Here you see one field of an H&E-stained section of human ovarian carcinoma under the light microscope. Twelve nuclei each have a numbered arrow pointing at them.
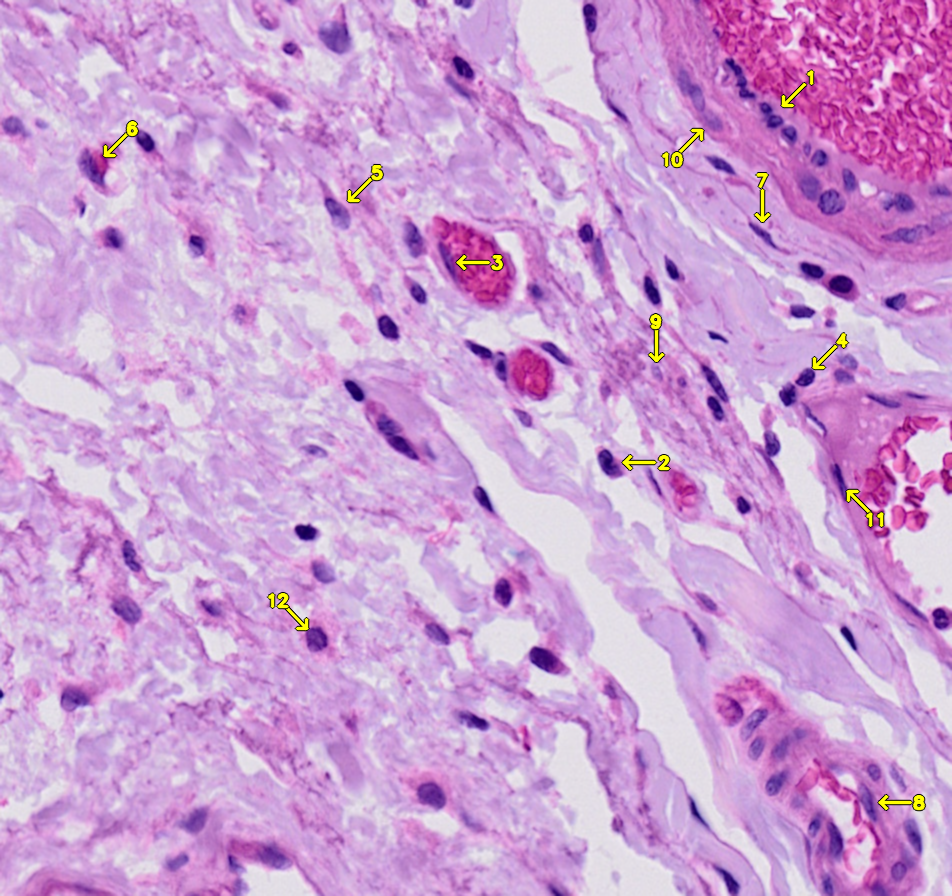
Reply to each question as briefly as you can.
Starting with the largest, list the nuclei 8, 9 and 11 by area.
8, 11, 9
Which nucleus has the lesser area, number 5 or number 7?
7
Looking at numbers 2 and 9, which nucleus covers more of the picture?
2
